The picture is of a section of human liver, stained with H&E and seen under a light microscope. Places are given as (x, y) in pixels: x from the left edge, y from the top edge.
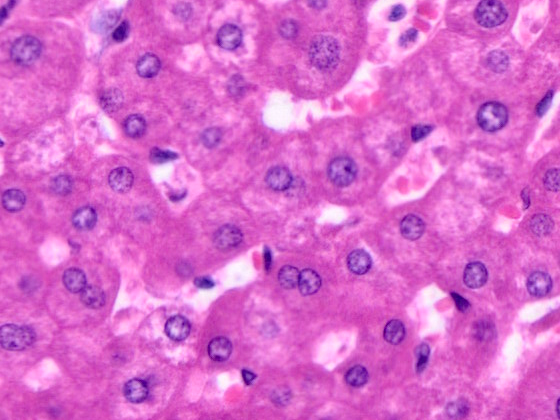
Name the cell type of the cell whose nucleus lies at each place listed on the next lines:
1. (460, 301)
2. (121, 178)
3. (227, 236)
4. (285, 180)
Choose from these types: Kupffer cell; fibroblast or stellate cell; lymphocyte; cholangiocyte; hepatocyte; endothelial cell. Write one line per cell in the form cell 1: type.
cell 1: fibroblast or stellate cell
cell 2: hepatocyte
cell 3: hepatocyte
cell 4: hepatocyte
